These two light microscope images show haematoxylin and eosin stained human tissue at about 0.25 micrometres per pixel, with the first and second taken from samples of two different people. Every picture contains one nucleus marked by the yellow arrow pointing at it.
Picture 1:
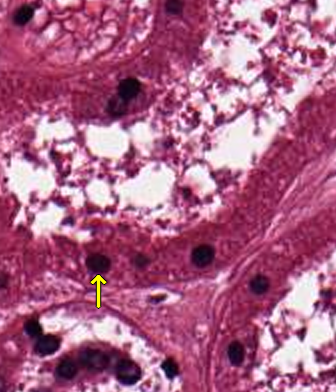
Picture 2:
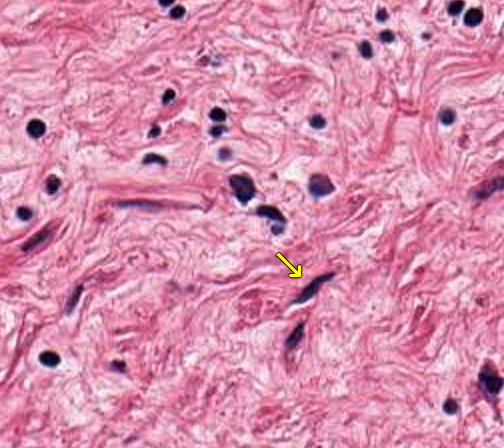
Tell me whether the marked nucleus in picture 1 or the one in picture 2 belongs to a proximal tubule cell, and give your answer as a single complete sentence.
Picture 1 is the one whose marked nucleus belongs to a proximal tubule cell.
